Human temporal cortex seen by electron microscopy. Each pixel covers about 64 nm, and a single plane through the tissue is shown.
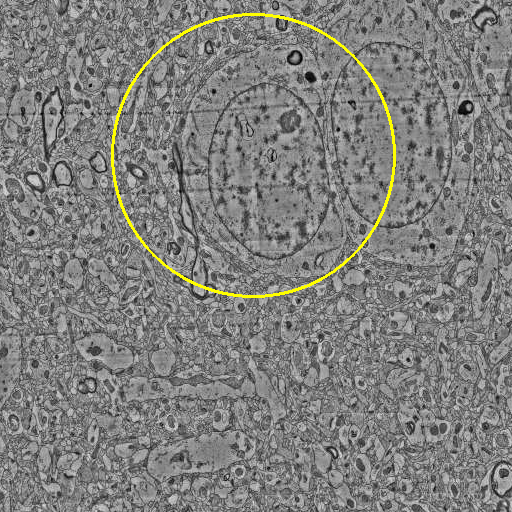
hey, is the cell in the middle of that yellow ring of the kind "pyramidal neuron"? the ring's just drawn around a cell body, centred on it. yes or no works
yes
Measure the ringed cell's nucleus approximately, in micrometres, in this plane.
Roughly 11 micrometres by 8 micrometres, in this plane.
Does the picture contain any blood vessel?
No, there is no blood vessel in the image.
